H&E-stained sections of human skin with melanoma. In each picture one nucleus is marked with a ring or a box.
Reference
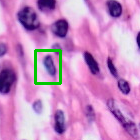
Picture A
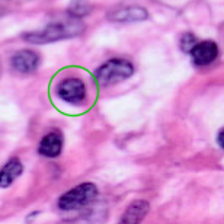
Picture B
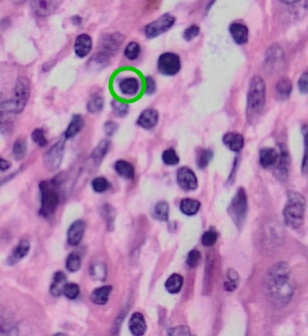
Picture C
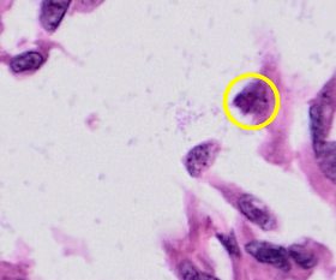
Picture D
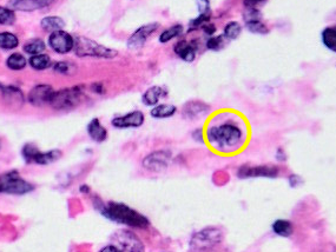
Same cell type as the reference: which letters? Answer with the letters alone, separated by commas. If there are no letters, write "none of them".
B, D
